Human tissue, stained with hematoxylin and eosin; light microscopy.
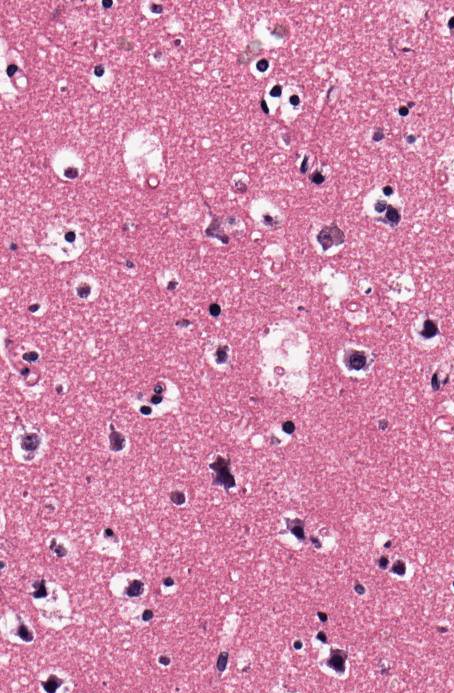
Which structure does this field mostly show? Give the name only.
cerebral cortex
